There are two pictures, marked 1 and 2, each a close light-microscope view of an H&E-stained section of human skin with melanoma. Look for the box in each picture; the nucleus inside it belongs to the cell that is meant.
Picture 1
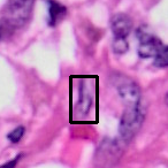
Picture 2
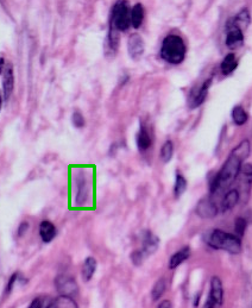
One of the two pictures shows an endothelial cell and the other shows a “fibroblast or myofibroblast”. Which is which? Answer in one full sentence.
In picture 1 the cell is an endothelial cell; in picture 2, a “fibroblast or myofibroblast”.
